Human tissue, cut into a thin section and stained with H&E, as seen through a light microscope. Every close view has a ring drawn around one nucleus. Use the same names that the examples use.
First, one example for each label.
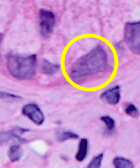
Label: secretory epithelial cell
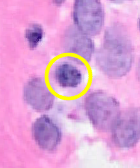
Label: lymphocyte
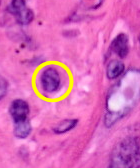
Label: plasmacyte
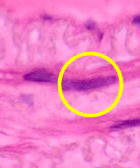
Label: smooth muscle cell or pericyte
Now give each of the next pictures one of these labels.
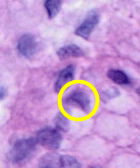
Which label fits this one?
secretory epithelial cell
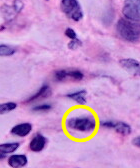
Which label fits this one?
lymphocyte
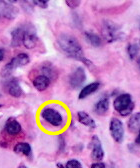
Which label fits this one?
lymphocyte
